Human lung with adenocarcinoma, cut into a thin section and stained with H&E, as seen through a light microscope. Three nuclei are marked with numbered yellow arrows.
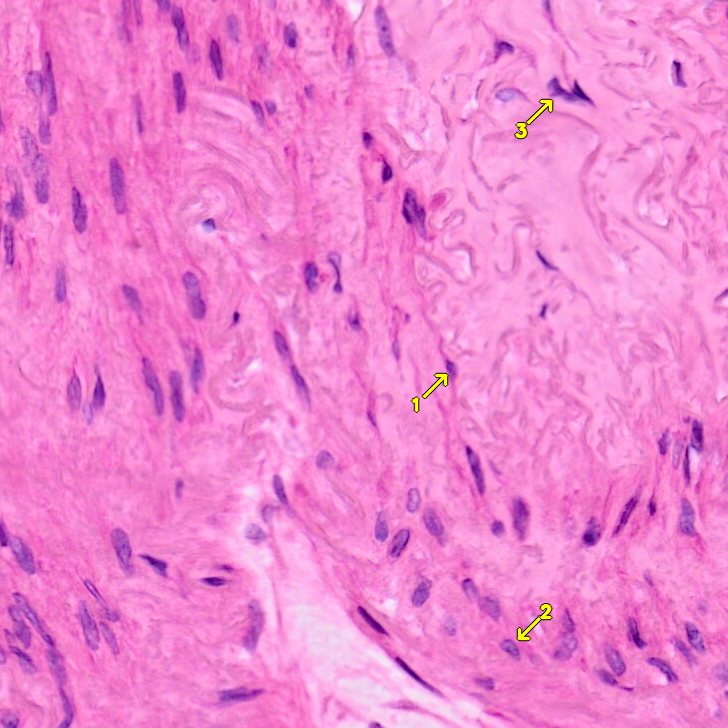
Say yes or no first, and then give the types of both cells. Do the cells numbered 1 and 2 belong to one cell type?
Yes, cells 1 and 2 both count as smooth muscle cells or pericytes.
